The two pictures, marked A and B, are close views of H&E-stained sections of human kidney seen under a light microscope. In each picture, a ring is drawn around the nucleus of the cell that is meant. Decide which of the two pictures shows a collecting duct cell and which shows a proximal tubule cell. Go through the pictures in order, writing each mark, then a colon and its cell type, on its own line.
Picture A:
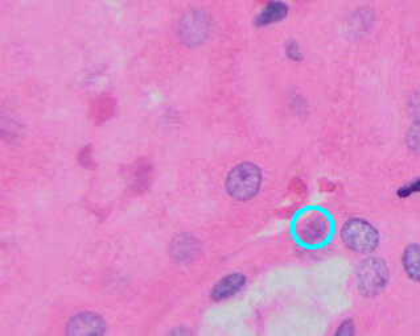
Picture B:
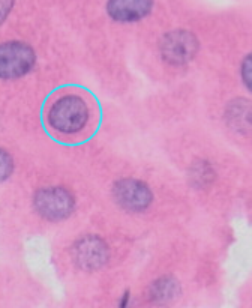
A: collecting duct cell
B: proximal tubule cell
